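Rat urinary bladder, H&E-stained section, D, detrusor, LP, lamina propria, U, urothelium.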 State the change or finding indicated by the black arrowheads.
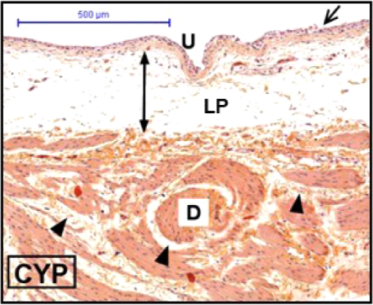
Edema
